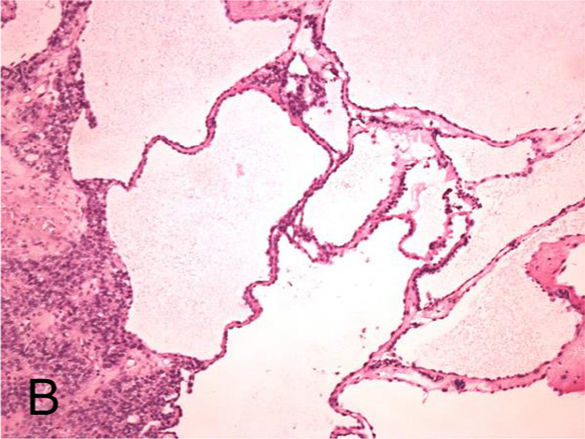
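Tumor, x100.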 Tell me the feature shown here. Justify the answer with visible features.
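Dilated cystic structures. Large empty-looking spaces filled with pale pink material. Spaces lined by a thin layer of flattened cells. Solid cellular tissue at the left edge.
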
